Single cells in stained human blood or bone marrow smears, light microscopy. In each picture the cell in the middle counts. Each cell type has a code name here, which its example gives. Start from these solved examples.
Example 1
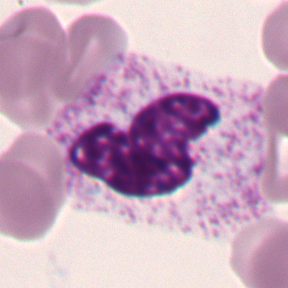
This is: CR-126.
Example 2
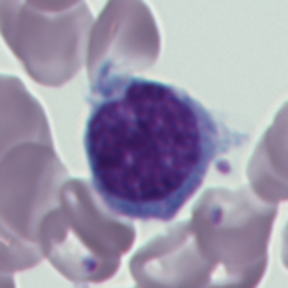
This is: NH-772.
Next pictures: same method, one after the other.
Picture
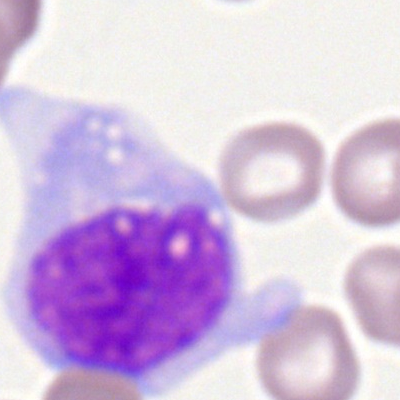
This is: NH-772.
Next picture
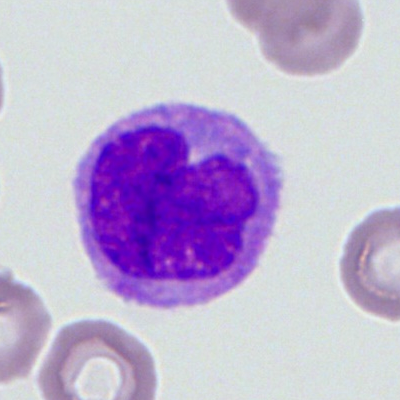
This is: NH-772.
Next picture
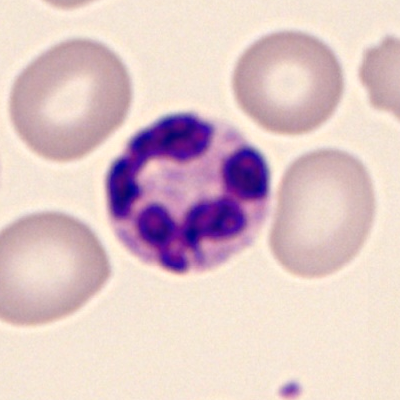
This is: CR-126.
